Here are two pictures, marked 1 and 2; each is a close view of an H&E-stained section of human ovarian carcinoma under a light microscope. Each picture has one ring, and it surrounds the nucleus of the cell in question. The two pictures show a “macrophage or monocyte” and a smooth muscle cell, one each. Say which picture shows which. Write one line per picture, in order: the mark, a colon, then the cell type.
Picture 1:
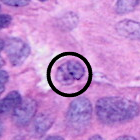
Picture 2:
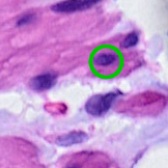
1: macrophage or monocyte
2: smooth muscle cell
